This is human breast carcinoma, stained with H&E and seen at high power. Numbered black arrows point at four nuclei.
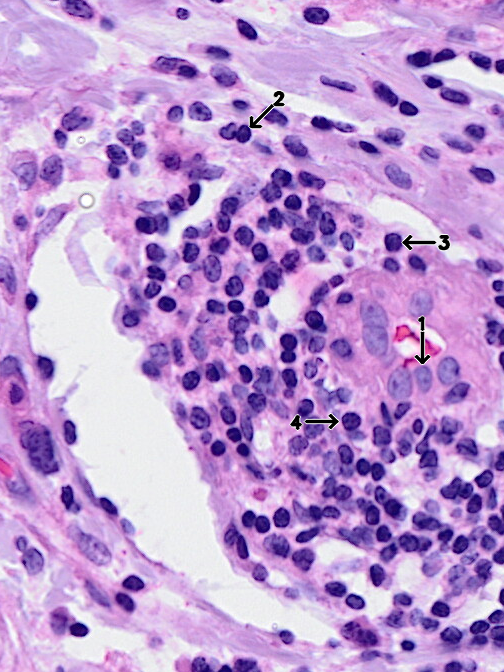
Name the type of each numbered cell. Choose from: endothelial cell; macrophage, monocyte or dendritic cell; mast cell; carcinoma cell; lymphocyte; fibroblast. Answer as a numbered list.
1. endothelial cell
2. lymphocyte
3. lymphocyte
4. lymphocyte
